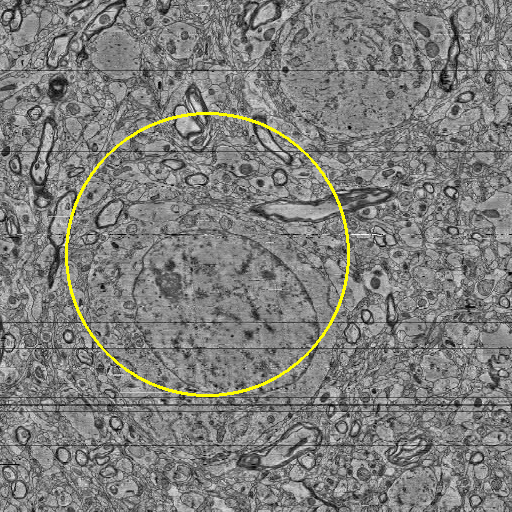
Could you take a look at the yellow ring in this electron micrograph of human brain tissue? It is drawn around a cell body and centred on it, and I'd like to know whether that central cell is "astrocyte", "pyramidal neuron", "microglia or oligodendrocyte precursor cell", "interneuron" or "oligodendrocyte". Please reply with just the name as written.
pyramidal neuron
